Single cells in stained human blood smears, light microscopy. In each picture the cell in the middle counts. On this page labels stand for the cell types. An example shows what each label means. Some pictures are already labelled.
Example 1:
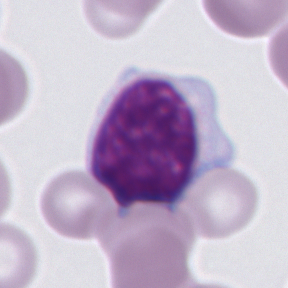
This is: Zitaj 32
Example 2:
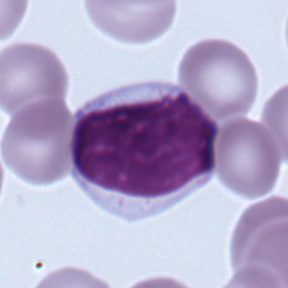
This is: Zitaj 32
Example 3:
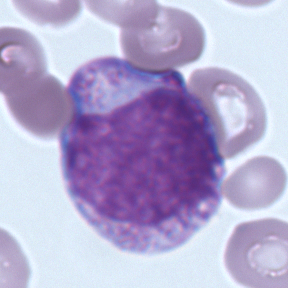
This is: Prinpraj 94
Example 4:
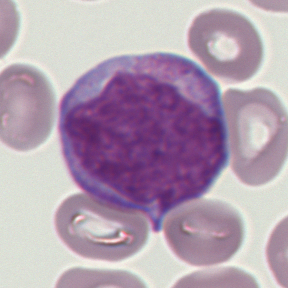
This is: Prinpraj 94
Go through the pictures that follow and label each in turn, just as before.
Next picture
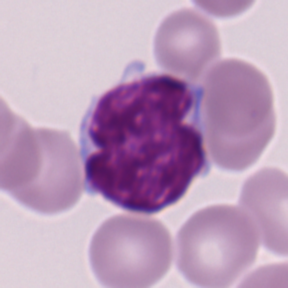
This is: Zitaj 32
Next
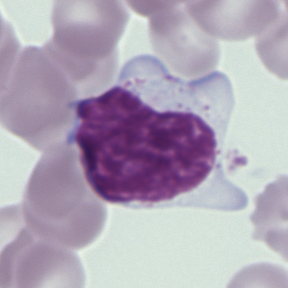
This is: Zitaj 32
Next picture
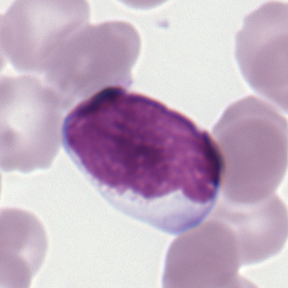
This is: Zitaj 32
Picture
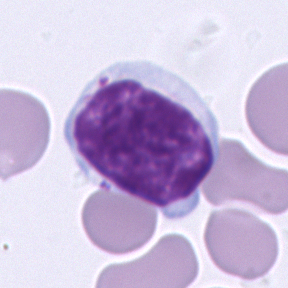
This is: Zitaj 32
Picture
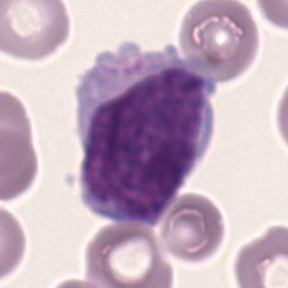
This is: Prinpraj 94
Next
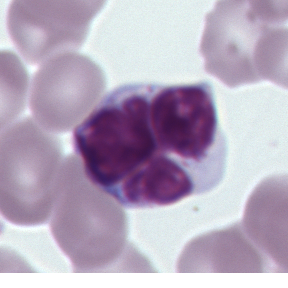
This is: Zitaj 32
